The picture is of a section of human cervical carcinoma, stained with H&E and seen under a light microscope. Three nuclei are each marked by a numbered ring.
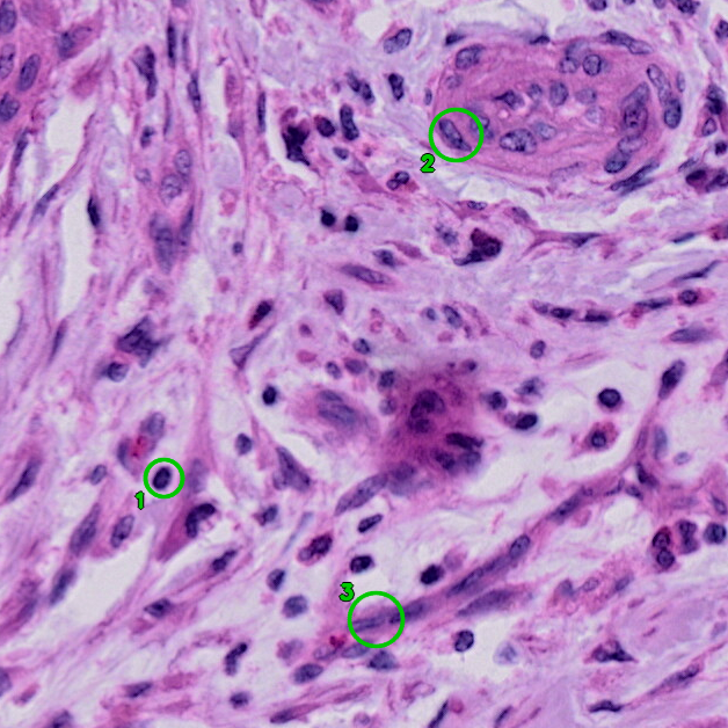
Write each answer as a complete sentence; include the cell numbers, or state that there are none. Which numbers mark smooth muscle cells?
Only at number 2 is there a smooth muscle cell among the marked cells.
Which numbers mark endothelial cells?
Where the numbered cells are concerned, only number 3 is an endothelial cell.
